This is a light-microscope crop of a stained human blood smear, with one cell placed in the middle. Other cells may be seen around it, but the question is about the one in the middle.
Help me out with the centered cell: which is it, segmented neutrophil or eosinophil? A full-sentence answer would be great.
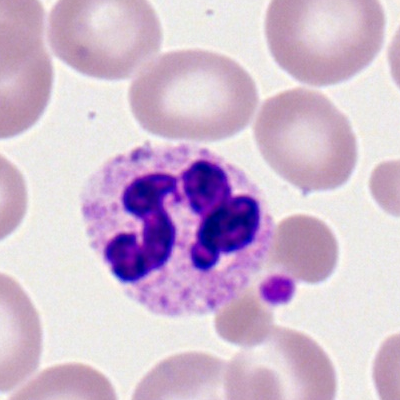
At the center of the crop sits a segmented neutrophil.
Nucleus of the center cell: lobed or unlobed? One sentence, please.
Segmentation of the nucleus into two or more lobes is the finding.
